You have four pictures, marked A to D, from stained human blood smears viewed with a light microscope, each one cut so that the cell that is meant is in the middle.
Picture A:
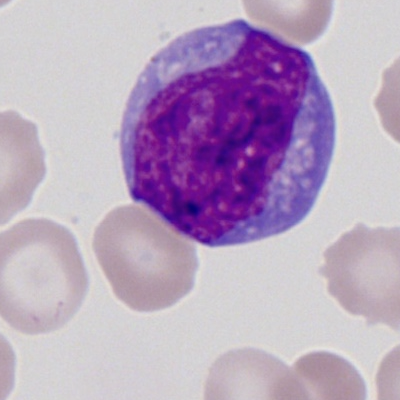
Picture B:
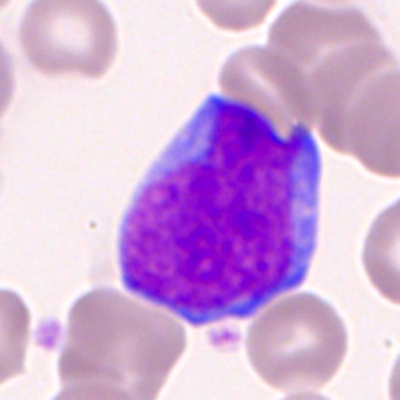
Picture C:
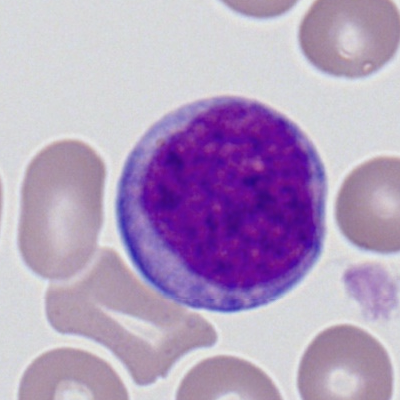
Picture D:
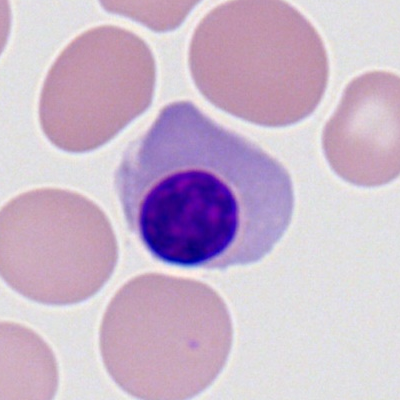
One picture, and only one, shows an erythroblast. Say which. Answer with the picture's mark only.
D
